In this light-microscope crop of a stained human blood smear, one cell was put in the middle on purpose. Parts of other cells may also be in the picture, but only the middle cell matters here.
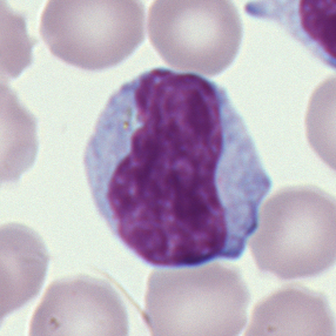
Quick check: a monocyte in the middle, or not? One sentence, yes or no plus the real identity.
Yes, the middle cell is classified as a monocyte.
